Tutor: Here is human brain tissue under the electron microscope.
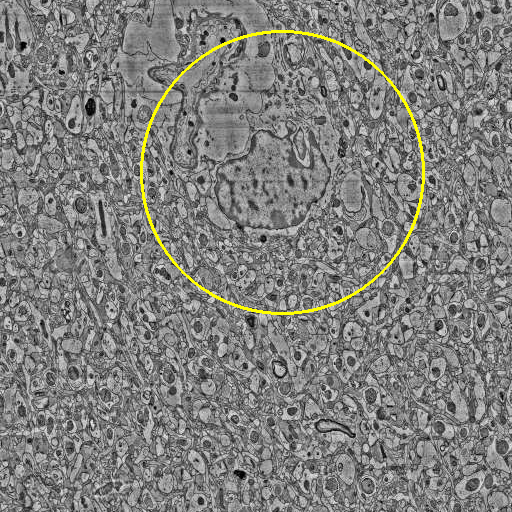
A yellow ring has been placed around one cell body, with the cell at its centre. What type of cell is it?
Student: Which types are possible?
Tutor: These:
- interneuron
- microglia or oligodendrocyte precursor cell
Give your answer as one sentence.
What the ring picks out here is a microglial cell or oligodendrocyte precursor cell.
